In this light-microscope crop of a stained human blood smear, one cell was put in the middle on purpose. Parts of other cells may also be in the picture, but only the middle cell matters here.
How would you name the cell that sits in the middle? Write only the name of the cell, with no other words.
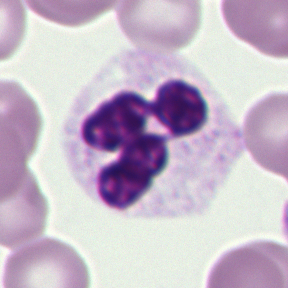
segmented neutrophil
